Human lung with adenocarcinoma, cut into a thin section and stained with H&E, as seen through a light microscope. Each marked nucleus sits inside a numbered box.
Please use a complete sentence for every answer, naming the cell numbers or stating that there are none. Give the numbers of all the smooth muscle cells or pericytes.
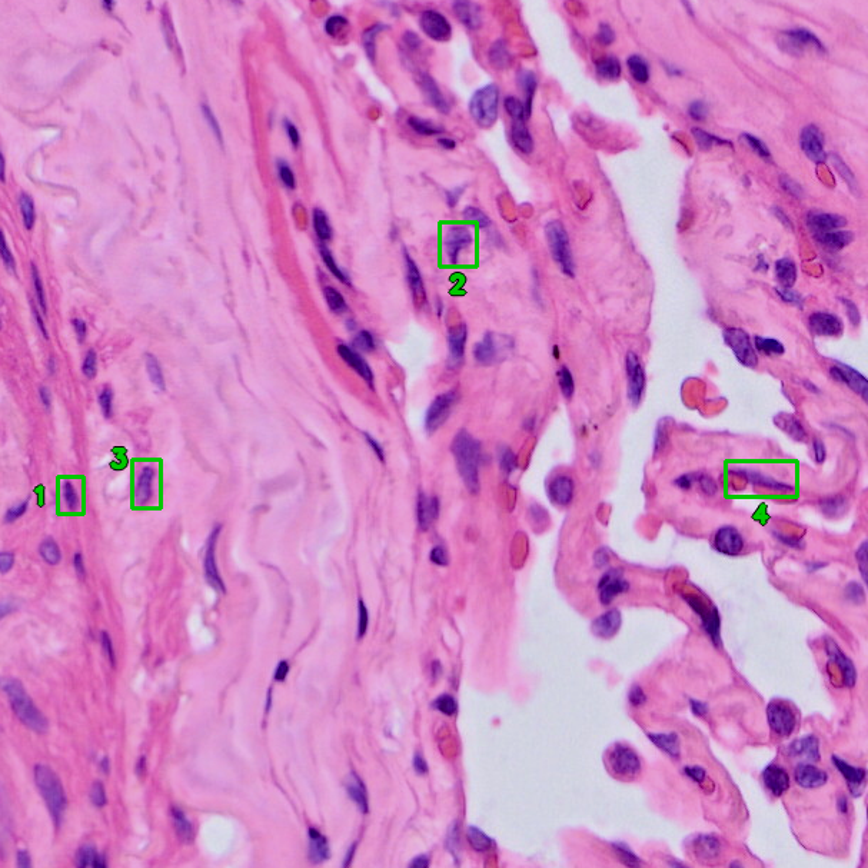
The numbers 1 and 3 in this section indicate smooth muscle cells or pericytes.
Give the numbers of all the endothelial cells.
Of the cells bearing numbers, the only one that is an endothelial cell is cell 4.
